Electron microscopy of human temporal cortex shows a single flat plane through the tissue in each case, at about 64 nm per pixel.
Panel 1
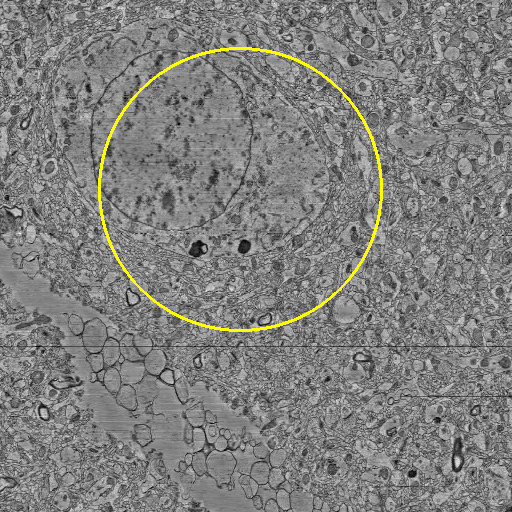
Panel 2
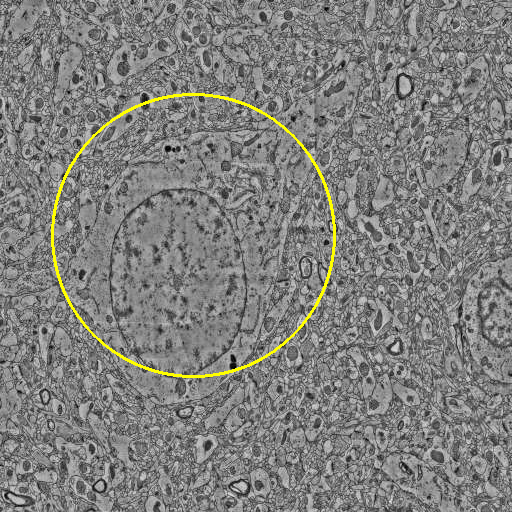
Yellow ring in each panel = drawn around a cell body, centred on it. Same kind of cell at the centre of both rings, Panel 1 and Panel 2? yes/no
yes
